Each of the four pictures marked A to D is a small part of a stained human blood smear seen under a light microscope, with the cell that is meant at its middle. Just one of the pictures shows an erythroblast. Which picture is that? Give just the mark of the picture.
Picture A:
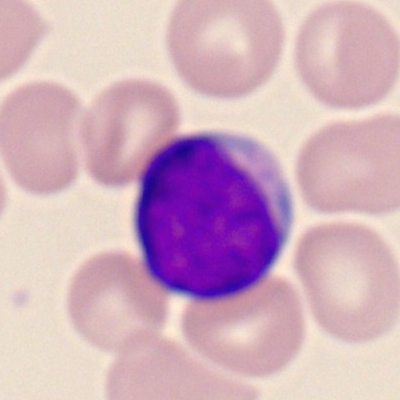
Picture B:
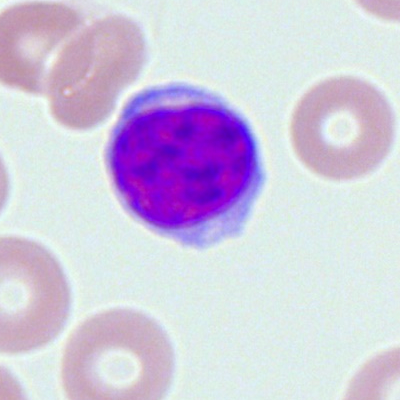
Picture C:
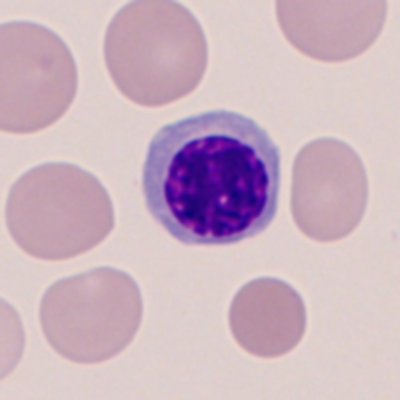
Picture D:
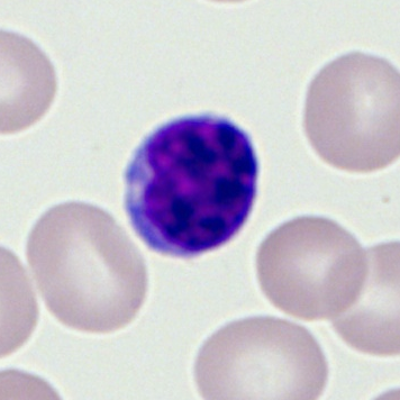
C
